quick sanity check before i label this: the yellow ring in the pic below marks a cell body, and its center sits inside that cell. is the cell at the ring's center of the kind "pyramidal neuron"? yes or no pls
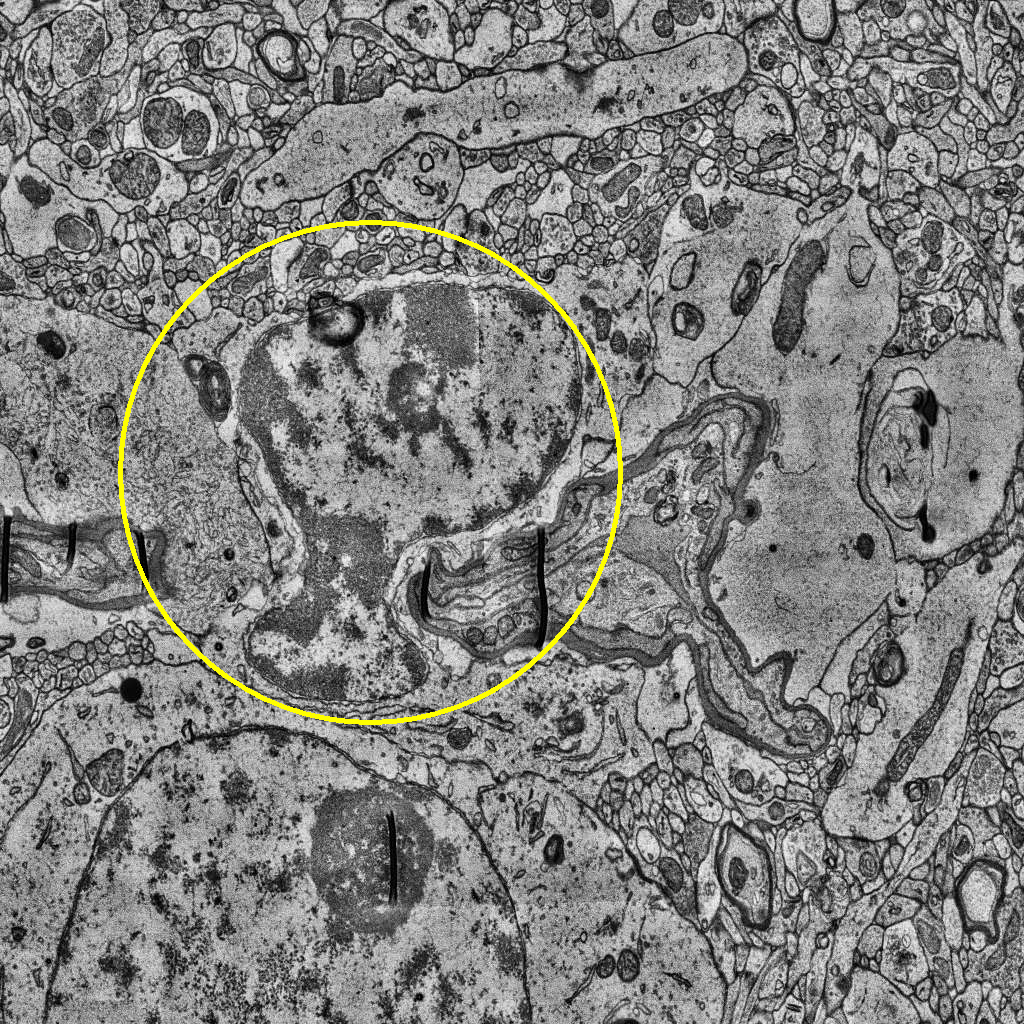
no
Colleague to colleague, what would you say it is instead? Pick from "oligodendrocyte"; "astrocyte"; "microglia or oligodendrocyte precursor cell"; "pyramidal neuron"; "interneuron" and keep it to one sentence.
The ring's central cell is a microglial cell or oligodendrocyte precursor cell instead.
